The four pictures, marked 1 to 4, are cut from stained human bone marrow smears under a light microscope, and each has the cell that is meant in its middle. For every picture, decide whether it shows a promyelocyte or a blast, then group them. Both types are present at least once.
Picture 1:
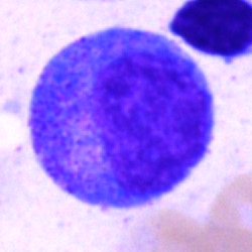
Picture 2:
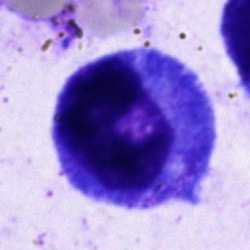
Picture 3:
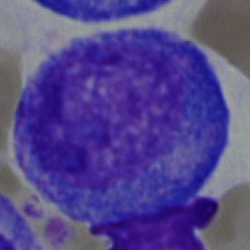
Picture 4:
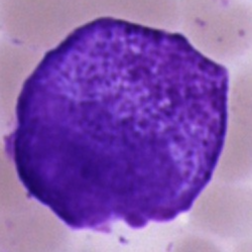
1: promyelocyte
2: promyelocyte
3: promyelocyte
4: blast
